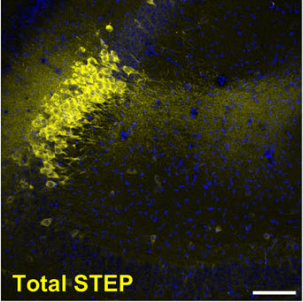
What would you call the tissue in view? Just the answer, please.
Hippocampus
